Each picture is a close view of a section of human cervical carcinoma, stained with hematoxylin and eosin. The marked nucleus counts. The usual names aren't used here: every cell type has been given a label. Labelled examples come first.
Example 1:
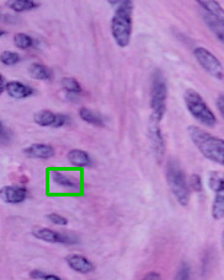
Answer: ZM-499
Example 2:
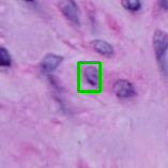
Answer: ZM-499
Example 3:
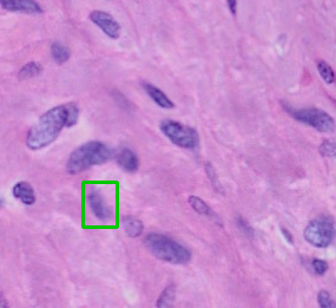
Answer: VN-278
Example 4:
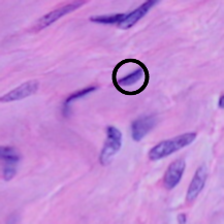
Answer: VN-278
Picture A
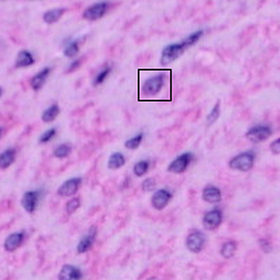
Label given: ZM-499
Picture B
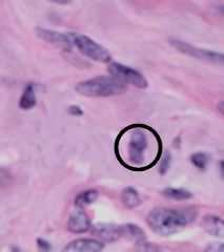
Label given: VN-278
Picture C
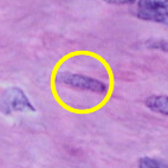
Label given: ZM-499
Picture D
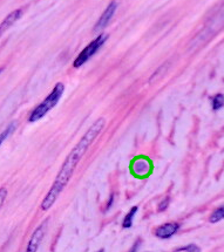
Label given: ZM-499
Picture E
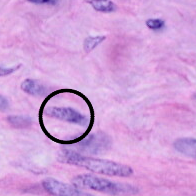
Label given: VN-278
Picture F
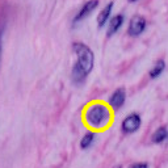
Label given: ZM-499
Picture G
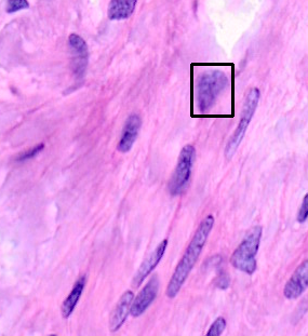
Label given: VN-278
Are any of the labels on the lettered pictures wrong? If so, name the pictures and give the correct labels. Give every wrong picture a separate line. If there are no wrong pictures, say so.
E: not VN-278 but ZM-499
